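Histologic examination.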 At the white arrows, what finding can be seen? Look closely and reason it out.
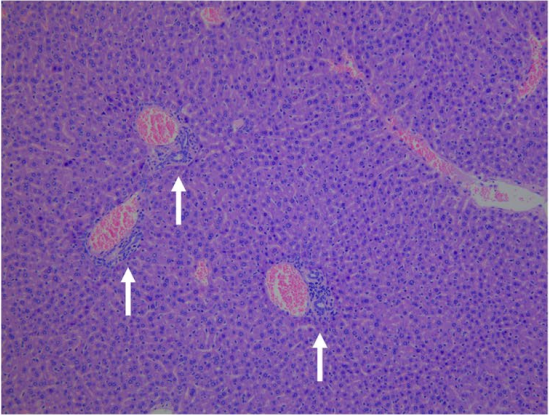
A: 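Dense clusters of small, dark-blue round nuclei sit beside the vessels the arrows point to. The clusters hug vessels filled with red blood cells, set in otherwise uniform liver parenchyma.
Answer: perivascular infiltration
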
